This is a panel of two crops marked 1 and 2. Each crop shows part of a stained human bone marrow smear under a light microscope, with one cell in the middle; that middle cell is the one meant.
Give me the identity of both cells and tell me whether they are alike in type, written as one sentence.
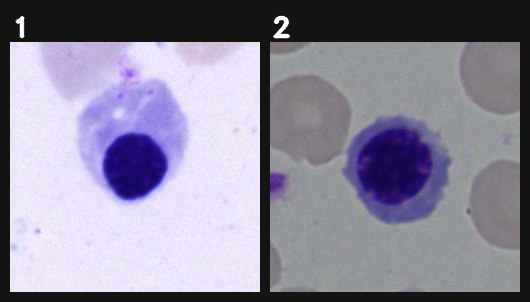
Yes, the central cells of both crops are normoblasts.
